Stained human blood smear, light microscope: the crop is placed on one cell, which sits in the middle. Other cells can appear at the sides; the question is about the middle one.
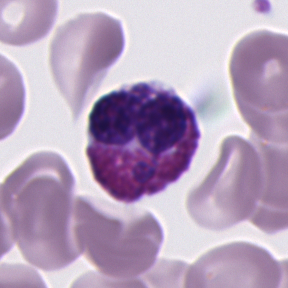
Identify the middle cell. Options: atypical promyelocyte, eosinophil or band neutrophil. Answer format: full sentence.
Classification of the middle cell gives an eosinophil.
